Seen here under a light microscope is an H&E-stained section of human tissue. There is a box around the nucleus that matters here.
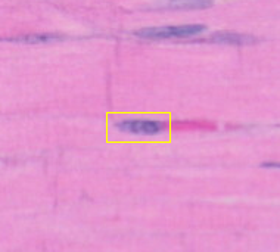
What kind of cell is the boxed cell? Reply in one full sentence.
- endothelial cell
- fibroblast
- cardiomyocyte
It is as an endothelial cell that the boxed cell is recorded.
